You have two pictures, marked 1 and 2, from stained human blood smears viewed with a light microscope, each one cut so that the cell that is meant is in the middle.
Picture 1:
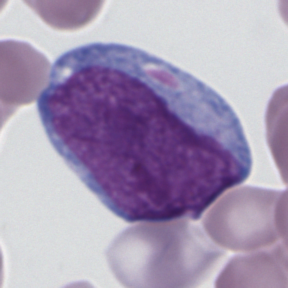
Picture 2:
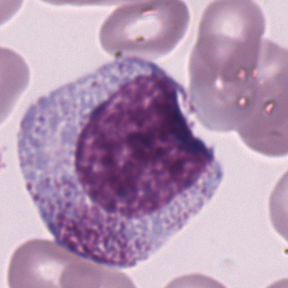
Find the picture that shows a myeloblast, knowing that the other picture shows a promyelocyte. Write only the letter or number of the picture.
1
